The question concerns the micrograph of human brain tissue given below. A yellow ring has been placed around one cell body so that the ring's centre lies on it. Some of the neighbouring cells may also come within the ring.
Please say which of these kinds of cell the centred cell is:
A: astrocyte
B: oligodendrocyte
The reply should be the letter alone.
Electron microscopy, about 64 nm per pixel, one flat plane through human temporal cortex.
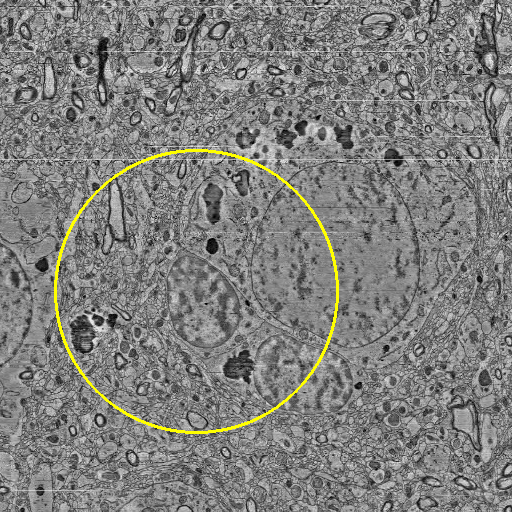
B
